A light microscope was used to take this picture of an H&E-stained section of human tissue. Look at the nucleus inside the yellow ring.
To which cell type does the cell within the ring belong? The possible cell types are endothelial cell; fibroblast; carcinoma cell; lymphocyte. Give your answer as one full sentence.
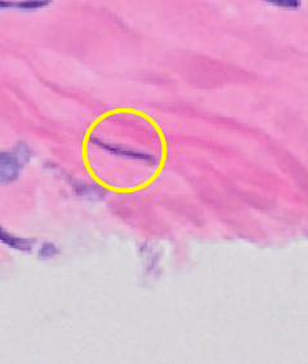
Speaking plainly, the cell within the ring is nothing other than a fibroblast.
